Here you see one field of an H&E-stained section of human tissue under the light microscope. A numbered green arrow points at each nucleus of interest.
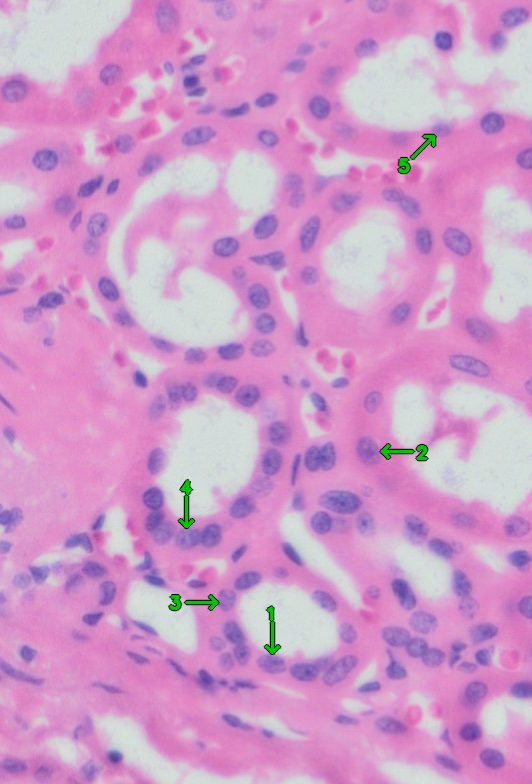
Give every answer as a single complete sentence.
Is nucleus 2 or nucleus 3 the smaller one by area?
Nucleus 3 is the smaller one; nucleus 2 covers about 1.5 times its area.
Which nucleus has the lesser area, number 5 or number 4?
Number 5 is smaller, since number 4 takes up about 1.5 times as much area.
